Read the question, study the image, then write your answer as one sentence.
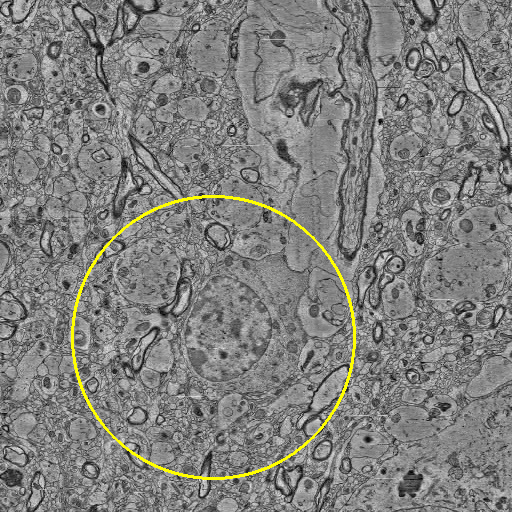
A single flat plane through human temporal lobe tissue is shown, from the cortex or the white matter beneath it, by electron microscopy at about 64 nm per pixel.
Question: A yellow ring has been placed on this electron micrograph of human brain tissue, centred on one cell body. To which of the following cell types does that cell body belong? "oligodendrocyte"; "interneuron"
That cell body belongs to an oligodendrocyte.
